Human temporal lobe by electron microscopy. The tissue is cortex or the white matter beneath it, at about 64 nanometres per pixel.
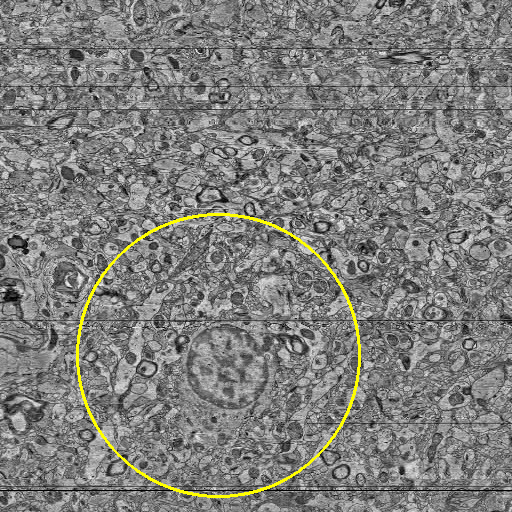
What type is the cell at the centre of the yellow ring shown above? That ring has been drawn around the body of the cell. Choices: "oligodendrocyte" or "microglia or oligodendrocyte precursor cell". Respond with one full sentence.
My answer is that an oligodendrocyte lies at the centre of the yellow ring above.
